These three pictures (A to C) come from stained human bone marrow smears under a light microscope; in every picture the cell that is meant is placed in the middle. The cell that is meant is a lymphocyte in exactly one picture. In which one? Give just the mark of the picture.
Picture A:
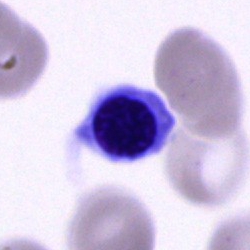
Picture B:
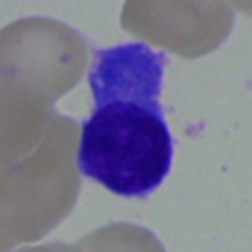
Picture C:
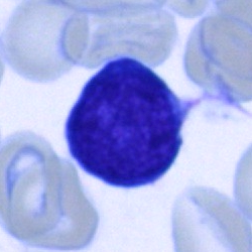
C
